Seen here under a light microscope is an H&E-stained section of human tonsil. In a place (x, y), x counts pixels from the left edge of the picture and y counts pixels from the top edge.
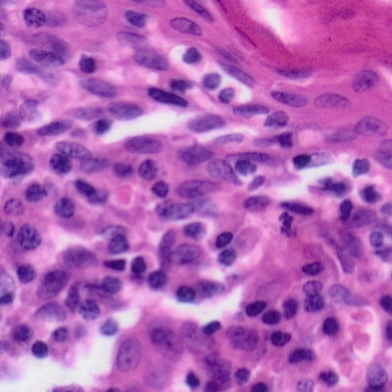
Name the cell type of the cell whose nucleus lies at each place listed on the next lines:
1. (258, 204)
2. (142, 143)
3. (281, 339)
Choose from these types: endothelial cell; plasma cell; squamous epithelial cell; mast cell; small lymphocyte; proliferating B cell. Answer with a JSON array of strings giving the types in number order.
["squamous epithelial cell", "squamous epithelial cell", "plasma cell"]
